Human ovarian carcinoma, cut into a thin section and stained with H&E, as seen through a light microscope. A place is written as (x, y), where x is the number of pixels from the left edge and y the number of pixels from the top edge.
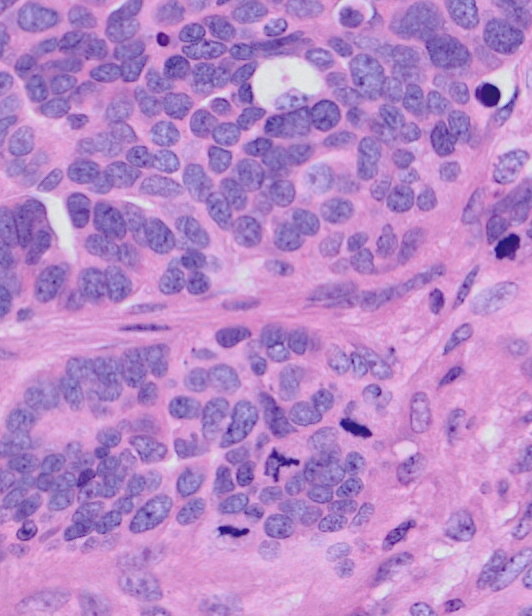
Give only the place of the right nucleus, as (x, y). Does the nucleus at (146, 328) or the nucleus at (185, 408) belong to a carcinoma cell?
(185, 408)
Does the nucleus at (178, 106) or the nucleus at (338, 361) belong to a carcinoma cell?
(178, 106)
